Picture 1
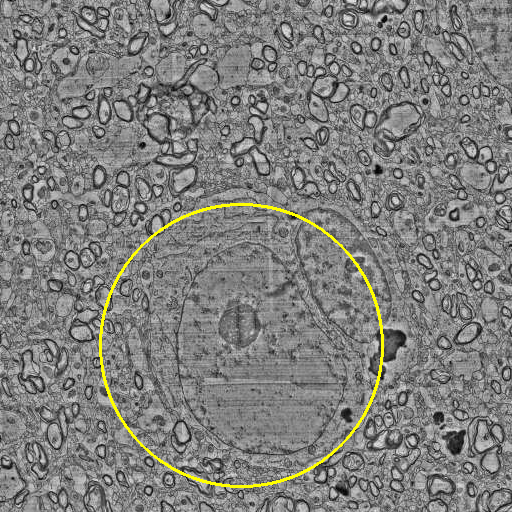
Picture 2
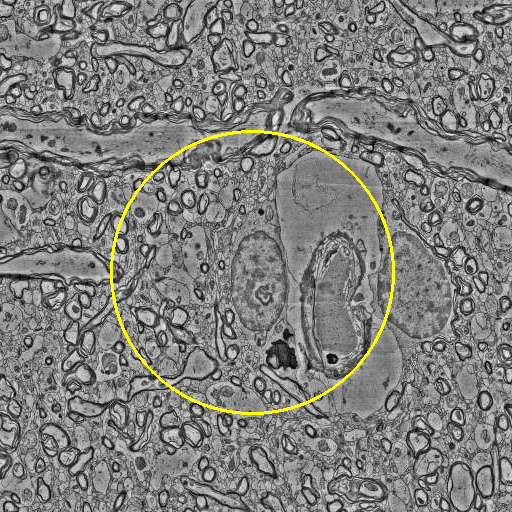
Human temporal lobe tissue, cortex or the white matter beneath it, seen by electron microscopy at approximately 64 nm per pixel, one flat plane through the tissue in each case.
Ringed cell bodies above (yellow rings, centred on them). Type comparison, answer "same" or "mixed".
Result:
mixed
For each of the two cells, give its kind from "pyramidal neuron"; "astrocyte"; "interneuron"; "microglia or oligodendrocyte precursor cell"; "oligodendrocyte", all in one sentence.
The first picture has a pyramidal neuron in its ring, the second has an oligodendrocyte.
